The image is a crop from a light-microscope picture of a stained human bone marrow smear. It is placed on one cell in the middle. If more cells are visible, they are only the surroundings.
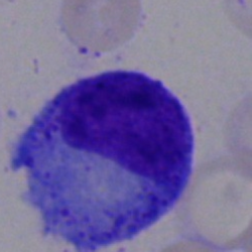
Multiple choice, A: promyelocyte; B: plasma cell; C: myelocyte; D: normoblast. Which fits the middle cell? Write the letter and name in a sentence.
Option C is the right choice, the central cell being a myelocyte.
